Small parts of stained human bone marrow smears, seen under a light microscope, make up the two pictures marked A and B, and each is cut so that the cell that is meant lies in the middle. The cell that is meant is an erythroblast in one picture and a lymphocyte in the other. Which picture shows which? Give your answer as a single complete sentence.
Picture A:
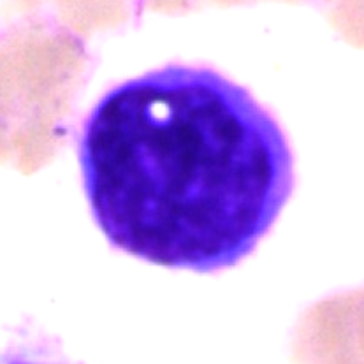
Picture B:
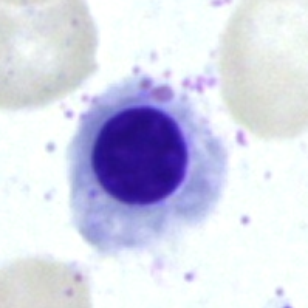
Picture A is of a lymphocyte, and picture B is of an erythroblast.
